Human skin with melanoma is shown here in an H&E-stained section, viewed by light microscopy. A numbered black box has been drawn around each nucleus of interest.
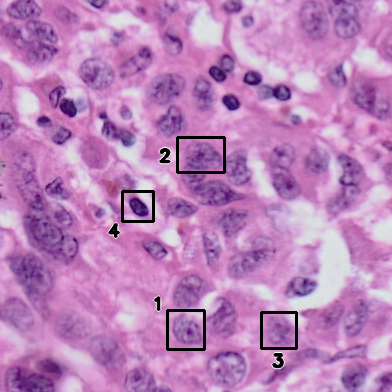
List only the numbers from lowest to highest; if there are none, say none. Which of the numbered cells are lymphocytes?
4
